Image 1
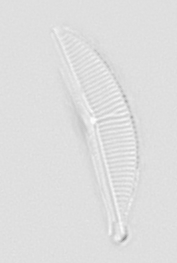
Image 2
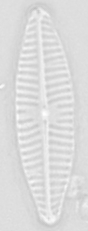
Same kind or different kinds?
Different: the first is Halamphora, the second Navicula.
